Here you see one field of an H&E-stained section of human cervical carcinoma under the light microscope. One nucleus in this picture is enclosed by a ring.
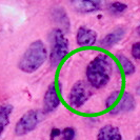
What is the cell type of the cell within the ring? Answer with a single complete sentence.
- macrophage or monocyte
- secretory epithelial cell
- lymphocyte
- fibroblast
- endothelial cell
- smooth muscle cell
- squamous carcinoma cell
On this particular slide, the cell within the ring is a squamous carcinoma cell.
